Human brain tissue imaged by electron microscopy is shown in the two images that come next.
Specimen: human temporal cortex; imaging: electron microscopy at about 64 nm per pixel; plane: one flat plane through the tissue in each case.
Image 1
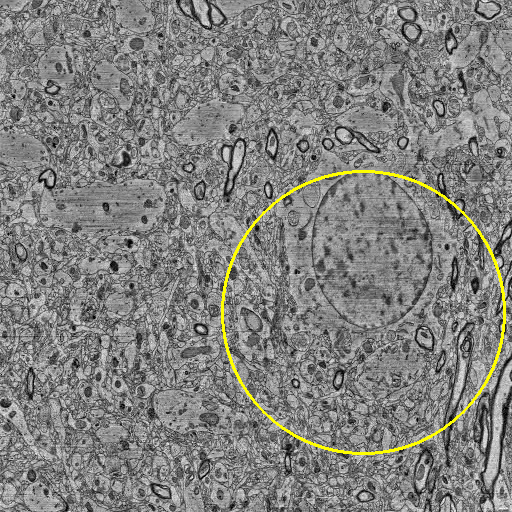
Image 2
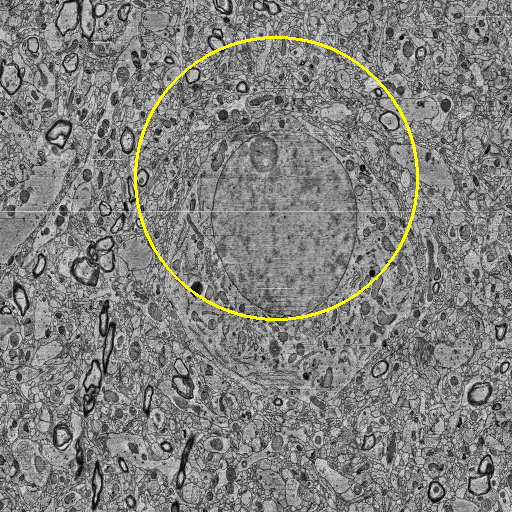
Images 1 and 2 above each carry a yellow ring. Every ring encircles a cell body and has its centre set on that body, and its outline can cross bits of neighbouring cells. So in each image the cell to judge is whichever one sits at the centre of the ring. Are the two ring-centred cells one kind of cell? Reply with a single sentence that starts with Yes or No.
No, in Image 1 and Image 2 the cells at the centres of their rings fall into two types.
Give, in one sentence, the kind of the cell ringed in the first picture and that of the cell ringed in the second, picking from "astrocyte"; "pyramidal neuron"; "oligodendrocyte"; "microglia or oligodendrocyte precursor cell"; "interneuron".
For the first picture it is an astrocyte; for the second, an interneuron.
